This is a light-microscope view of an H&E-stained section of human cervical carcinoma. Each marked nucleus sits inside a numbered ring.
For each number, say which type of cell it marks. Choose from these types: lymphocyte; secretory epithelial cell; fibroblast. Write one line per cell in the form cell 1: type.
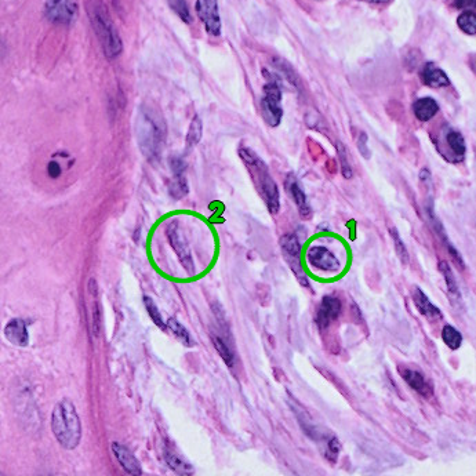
cell 1: lymphocyte
cell 2: fibroblast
